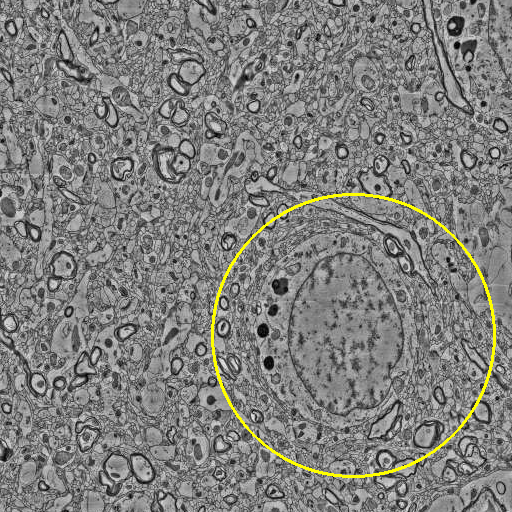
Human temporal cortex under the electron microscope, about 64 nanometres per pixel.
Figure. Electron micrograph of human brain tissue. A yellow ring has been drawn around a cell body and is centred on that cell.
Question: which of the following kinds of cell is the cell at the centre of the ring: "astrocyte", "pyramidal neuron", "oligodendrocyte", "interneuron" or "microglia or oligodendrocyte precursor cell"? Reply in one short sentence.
The cell at the centre of the ring is a pyramidal neuron.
